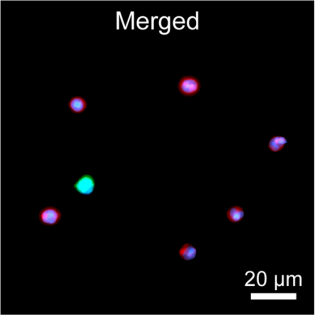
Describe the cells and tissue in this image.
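Seven small round cells lie singly and well apart on a dark background. Six of them appear red to magenta, with the red at the rim overlapping a blue nucleus. One cell, left of centre, is bright green throughout its cytoplasm with a cyan-blue nucleus and no red. It is of similar or slightly larger size than the neighbouring cells.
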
